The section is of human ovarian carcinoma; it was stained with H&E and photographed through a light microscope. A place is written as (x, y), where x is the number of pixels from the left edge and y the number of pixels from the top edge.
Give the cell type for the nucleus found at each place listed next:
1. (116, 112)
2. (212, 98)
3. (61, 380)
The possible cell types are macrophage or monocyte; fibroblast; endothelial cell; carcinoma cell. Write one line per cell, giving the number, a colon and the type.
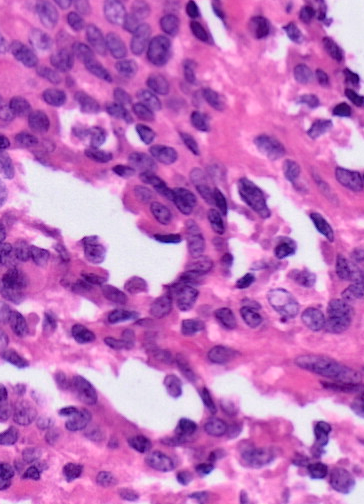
1: carcinoma cell
2: endothelial cell
3: carcinoma cell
